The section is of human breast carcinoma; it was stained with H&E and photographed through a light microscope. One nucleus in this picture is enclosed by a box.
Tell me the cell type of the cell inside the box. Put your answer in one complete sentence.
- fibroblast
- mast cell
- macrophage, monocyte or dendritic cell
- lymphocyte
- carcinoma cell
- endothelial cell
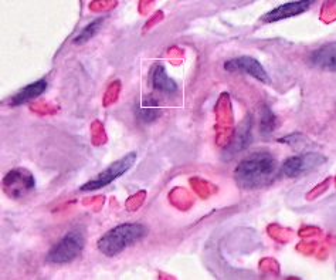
For cell typing purposes, the cell inside the box is an endothelial cell.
